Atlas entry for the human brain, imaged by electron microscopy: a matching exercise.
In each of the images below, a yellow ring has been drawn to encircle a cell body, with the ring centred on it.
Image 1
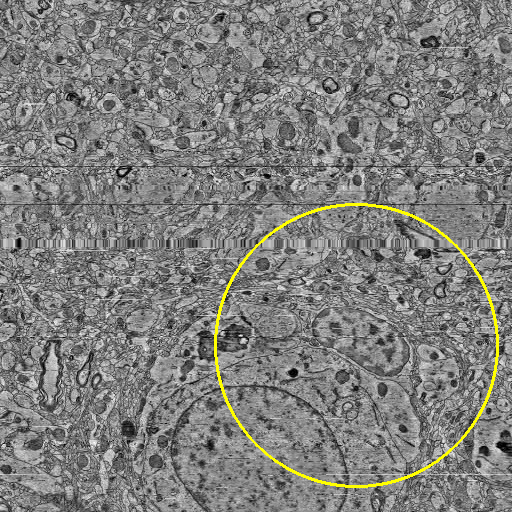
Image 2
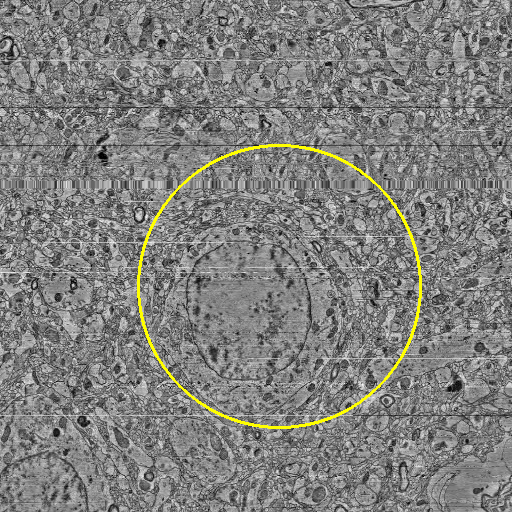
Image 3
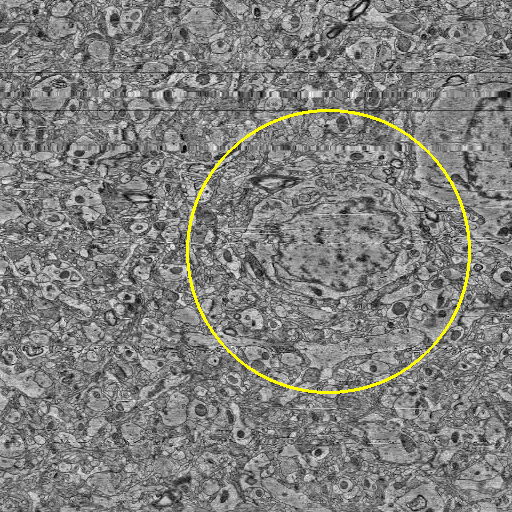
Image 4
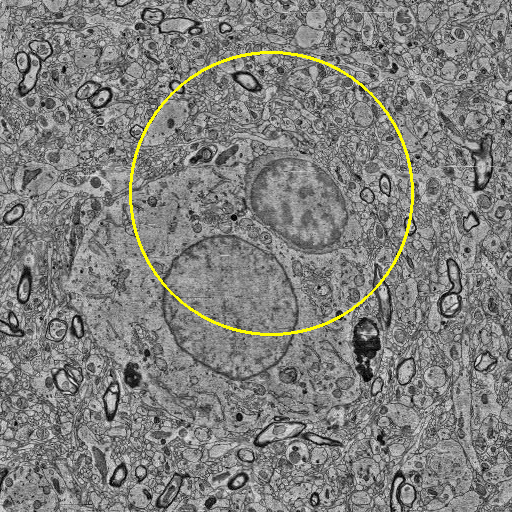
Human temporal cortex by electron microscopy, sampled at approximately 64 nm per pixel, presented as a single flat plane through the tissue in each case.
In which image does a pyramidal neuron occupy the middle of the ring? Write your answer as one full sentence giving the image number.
In image 2, the ring is centred on the cell in question.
